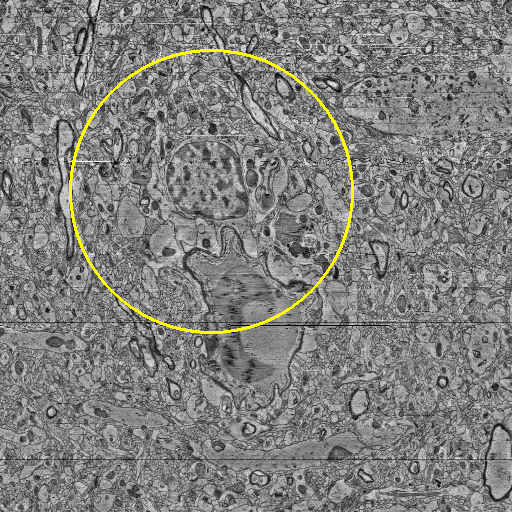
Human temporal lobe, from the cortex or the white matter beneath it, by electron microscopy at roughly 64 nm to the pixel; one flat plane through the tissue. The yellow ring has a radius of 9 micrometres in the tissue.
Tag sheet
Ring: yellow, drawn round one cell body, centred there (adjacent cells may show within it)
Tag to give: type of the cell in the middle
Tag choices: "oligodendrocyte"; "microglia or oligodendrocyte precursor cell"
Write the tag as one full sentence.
I tag the cell centred in the yellow ring as a microglial cell or oligodendrocyte precursor cell in this picture.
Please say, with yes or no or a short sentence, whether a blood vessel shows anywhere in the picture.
Yes, a vessel shows somewhere in the image.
